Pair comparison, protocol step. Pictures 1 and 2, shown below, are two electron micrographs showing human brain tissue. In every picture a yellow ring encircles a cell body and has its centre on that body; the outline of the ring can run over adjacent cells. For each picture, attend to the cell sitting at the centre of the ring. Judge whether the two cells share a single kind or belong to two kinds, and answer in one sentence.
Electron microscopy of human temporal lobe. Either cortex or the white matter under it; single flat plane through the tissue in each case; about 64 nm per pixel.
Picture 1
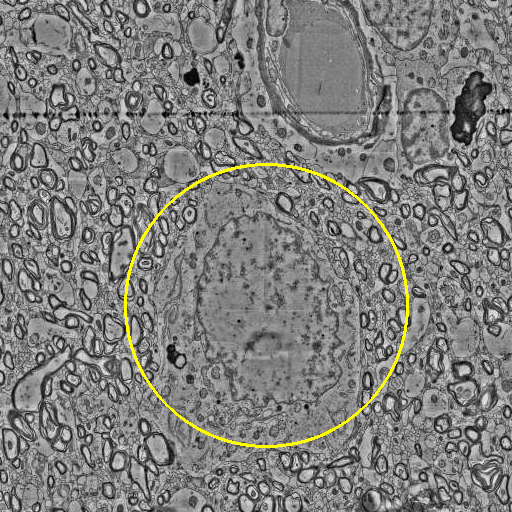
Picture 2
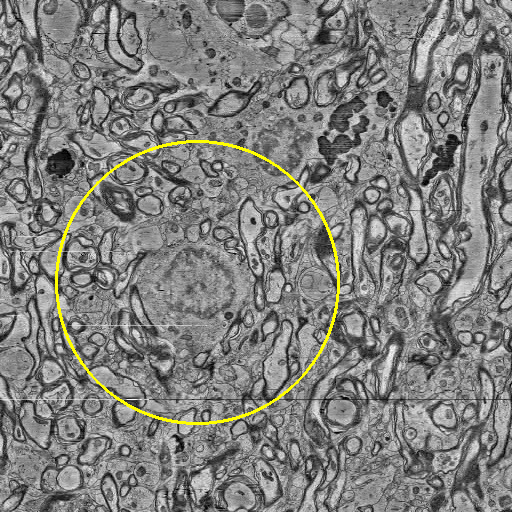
The two cells at the ring centres in Picture 1 and Picture 2 belong to two kinds.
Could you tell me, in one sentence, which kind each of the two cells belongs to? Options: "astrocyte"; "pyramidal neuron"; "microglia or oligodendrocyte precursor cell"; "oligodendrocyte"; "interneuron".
At the centre of the first ring sits an interneuron, and at the centre of the second sits an oligodendrocyte.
